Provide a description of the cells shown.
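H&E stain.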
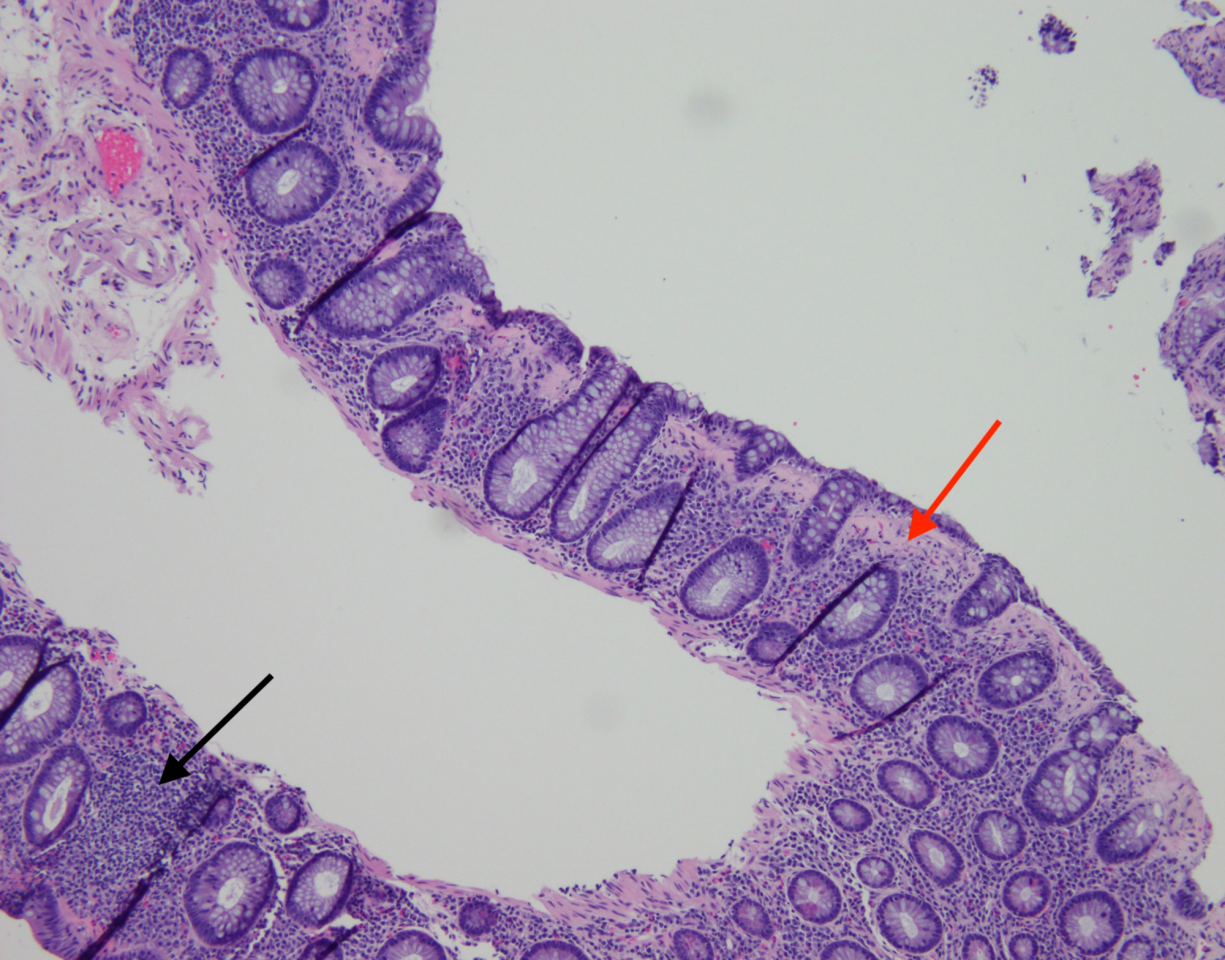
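Strips of colonic mucosa with straight, regularly spaced crypts cut lengthwise and in cross-section, each lined by columnar cells rich in pale goblet-cell mucin around a small central lumen. The lamina propria between crypts is densely filled with small round cells with dark nuclei, lymphocytes, in places forming compact clusters beside the crypt epithelium. Directly beneath the surface epithelium runs an abnormally thick, pale pink, almost cell-free band of collagen, on which the flattened surface cells rest. At the upper left, looser submucosal connective tissue with a small blood vessel full of red cells is seen.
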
